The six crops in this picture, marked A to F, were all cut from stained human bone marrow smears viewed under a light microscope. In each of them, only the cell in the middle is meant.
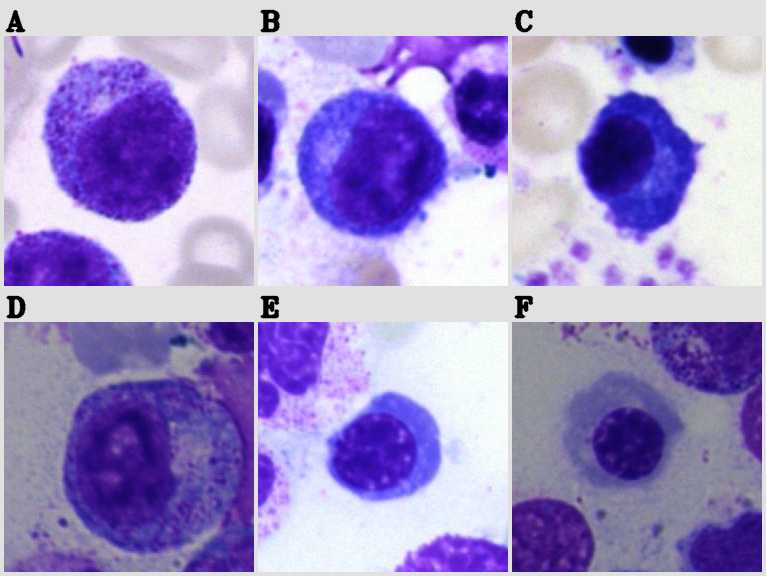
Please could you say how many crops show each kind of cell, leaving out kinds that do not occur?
promyelocyte: 3
erythroblast: 2
plasma cell: 1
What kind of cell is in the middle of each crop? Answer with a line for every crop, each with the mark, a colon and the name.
A: promyelocyte
B: promyelocyte
C: plasma cell
D: promyelocyte
E: erythroblast
F: erythroblast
